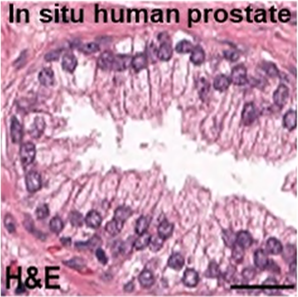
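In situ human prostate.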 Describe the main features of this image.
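The tall columnar cells stand side by side with pale pink, finely vacuolated cytoplasm and clear borders between neighbours. Their round to oval dark purple nuclei lie in the lower part of the cells, giving a row of nuclei at some distance from the lumen. The lumen is narrow and irregular, with small infoldings of the epithelium. Pink fibromuscular stroma surrounds the gland at the edges of the field.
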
